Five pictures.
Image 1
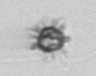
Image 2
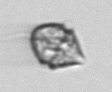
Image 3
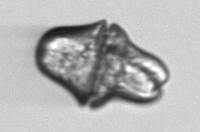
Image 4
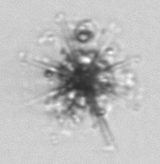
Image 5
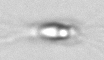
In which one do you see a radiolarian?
In picture 4.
